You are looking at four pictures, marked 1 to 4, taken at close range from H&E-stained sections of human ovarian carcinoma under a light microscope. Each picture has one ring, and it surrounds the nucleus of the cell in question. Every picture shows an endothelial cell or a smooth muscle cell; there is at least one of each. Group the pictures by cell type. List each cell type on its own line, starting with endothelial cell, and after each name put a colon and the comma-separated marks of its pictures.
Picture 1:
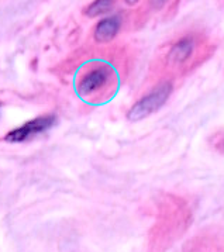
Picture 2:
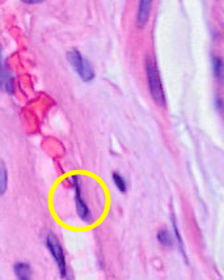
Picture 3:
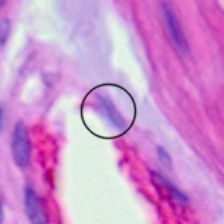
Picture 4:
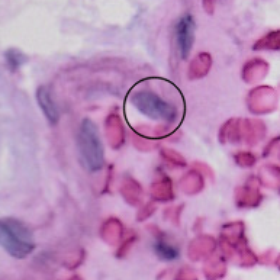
endothelial cell: 2, 3, 4
smooth muscle cell: 1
